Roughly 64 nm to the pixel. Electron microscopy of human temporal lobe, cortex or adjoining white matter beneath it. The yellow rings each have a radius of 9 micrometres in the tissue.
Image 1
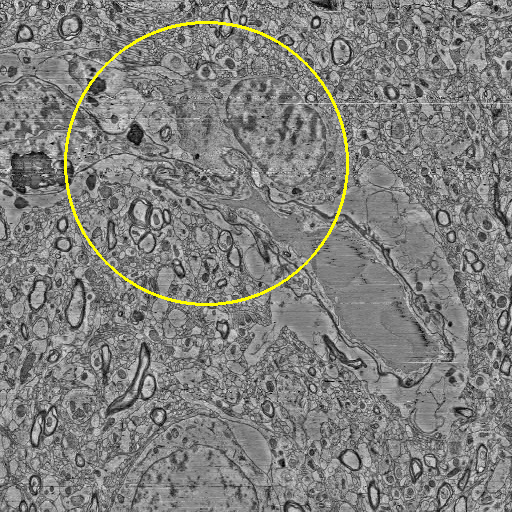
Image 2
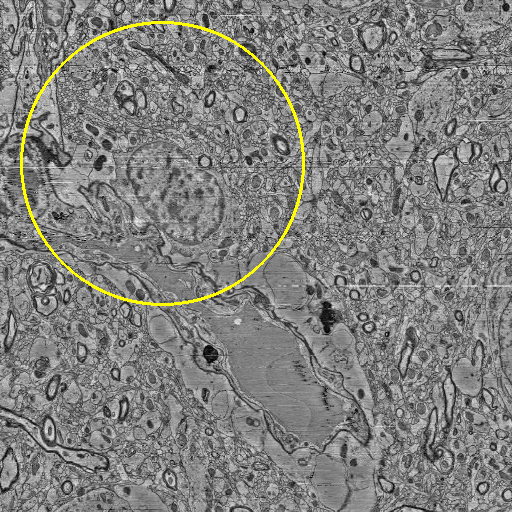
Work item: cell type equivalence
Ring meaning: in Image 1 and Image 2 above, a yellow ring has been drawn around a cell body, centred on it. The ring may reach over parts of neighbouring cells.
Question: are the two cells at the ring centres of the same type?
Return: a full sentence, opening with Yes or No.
Yes, the two centred cells are of the same type.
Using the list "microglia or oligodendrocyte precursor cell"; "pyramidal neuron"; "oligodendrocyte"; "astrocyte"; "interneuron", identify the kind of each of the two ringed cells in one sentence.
Each of the two pictures has an oligodendrocyte at the ring centre.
